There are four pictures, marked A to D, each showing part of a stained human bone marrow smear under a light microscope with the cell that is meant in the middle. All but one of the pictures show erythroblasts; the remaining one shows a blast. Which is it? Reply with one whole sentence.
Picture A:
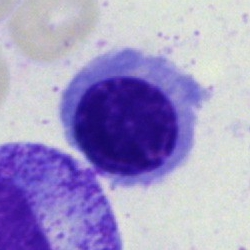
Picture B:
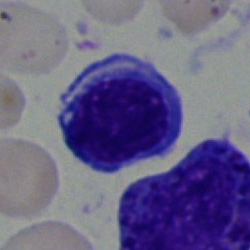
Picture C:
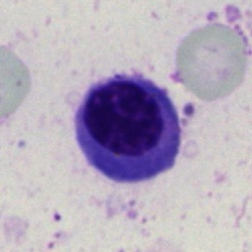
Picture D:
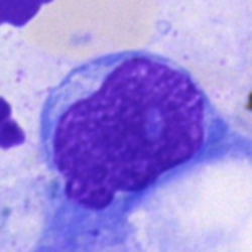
Picture D is the one that shows the blast.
